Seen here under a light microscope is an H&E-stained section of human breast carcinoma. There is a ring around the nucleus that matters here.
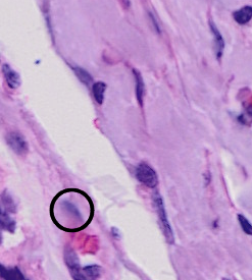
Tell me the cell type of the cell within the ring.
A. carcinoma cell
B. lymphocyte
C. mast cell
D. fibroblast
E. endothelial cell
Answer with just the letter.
E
